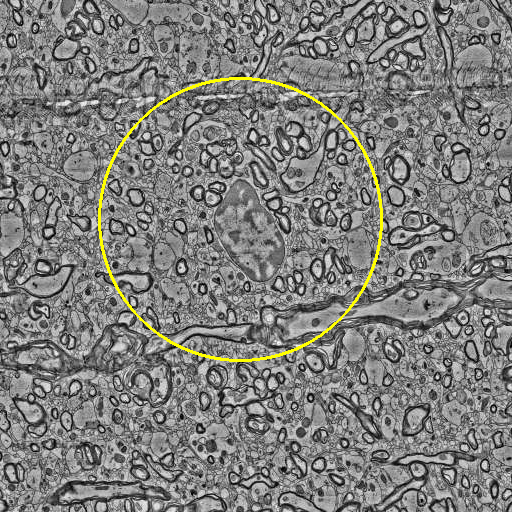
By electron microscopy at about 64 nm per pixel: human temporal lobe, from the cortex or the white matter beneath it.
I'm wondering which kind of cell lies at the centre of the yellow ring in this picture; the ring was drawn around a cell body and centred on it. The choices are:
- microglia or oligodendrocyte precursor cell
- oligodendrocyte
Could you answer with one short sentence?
At the centre of the ring lies a microglial cell or oligodendrocyte precursor cell.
